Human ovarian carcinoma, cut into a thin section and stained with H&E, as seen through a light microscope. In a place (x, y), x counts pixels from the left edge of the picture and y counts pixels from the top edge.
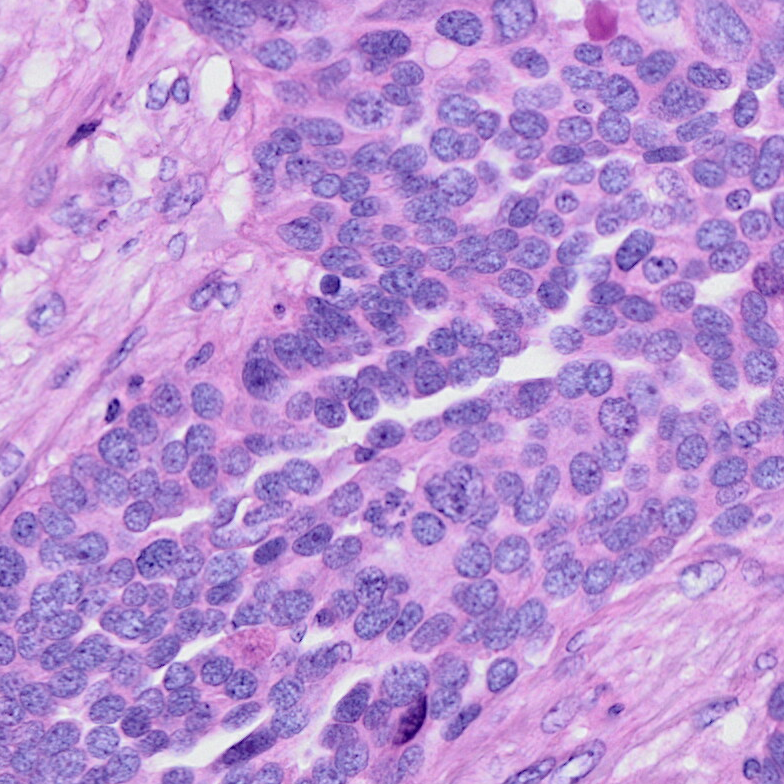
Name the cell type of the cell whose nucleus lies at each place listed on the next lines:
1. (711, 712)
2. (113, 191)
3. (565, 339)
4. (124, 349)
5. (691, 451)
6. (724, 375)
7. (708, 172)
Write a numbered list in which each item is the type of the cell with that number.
1. fibroblast
2. fibroblast
3. carcinoma cell
4. fibroblast
5. carcinoma cell
6. carcinoma cell
7. carcinoma cell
